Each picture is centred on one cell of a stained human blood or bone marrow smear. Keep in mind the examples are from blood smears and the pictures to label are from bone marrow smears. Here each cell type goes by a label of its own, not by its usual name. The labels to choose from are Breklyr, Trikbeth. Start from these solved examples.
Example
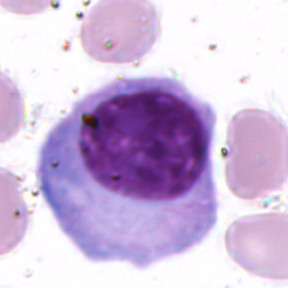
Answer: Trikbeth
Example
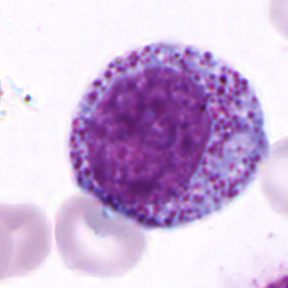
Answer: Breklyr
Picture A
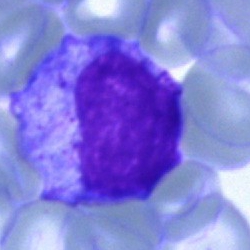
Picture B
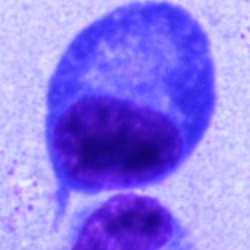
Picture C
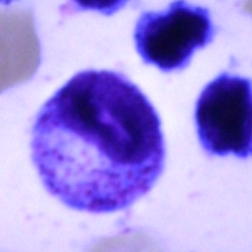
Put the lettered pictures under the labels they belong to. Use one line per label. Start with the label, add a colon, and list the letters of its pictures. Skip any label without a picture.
Breklyr: A, C
Trikbeth: B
